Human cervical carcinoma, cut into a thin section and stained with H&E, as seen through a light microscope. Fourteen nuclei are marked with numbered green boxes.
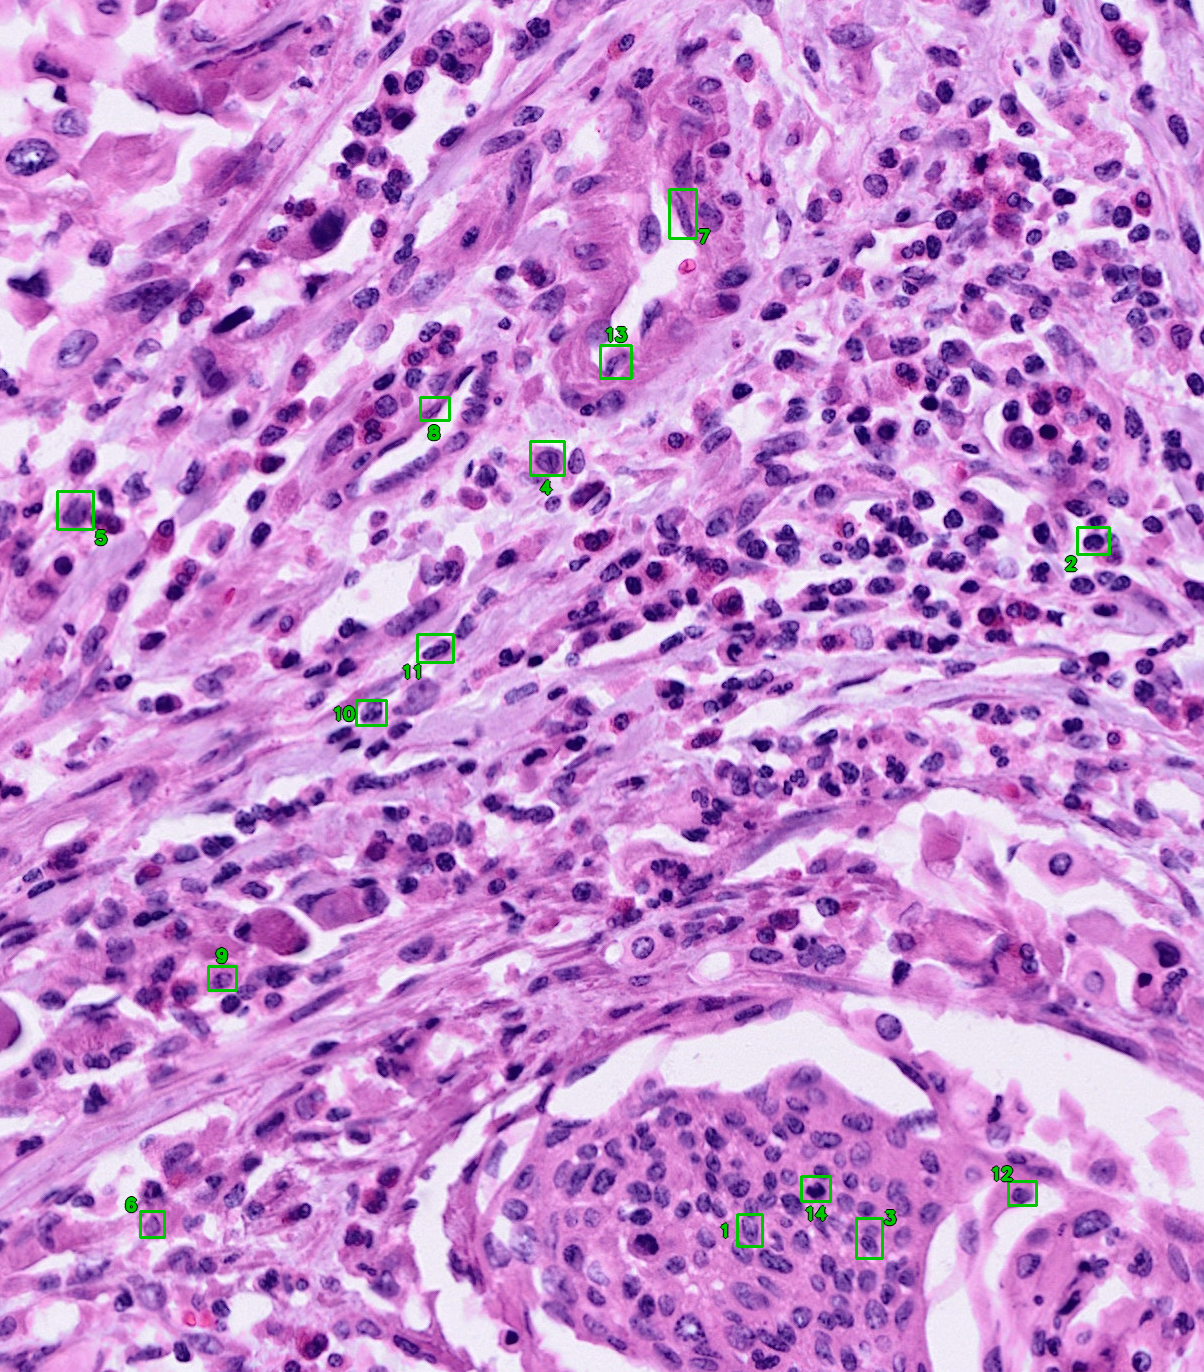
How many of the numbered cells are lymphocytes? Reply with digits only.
3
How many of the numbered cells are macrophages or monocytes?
4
